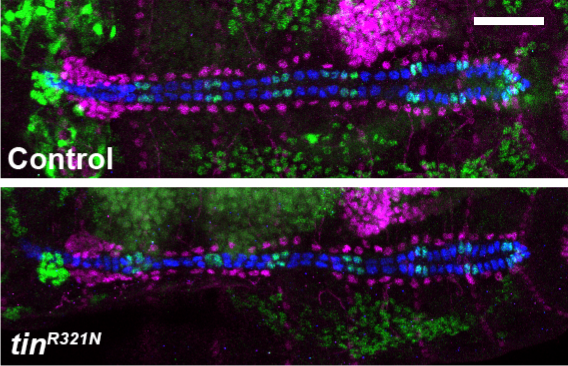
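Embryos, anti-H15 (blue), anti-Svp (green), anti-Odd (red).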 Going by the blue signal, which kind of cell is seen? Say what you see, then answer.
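The rows make a long narrow tube running the length of the image. So: Cardiac cells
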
